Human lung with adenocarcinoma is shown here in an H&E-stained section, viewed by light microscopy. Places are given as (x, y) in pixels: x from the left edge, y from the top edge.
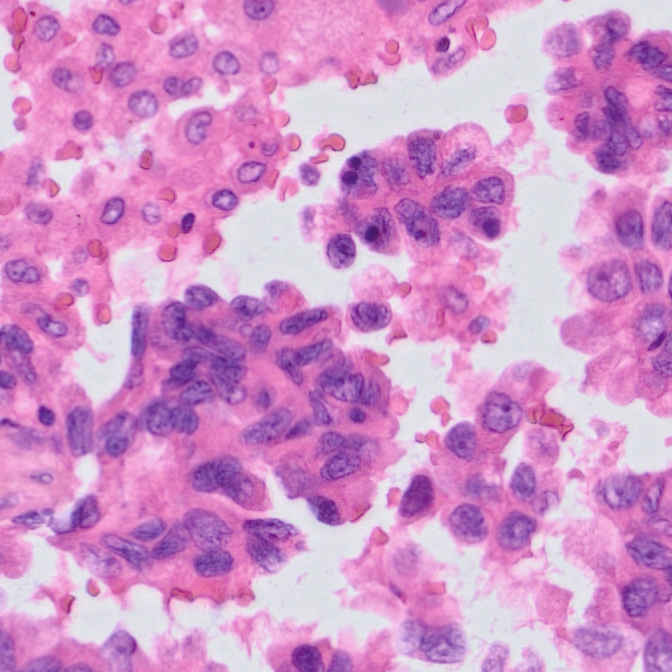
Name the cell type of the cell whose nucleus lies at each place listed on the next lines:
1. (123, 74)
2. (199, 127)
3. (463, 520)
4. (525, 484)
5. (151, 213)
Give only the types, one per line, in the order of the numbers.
macrophage or monocyte
macrophage or monocyte
carcinoma cell
carcinoma cell
macrophage or monocyte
